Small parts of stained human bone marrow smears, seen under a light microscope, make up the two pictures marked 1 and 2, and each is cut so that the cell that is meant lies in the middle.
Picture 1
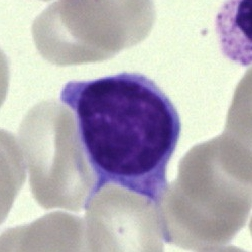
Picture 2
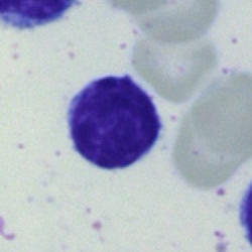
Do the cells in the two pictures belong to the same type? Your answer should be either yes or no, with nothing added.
yes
